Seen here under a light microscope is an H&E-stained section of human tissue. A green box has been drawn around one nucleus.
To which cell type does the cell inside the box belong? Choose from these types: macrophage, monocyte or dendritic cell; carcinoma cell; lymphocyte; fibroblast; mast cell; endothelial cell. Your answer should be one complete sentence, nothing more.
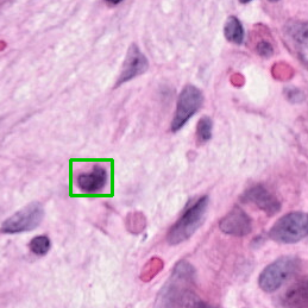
With respect to cell type, the cell inside the box is a macrophage, monocyte or dendritic cell.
